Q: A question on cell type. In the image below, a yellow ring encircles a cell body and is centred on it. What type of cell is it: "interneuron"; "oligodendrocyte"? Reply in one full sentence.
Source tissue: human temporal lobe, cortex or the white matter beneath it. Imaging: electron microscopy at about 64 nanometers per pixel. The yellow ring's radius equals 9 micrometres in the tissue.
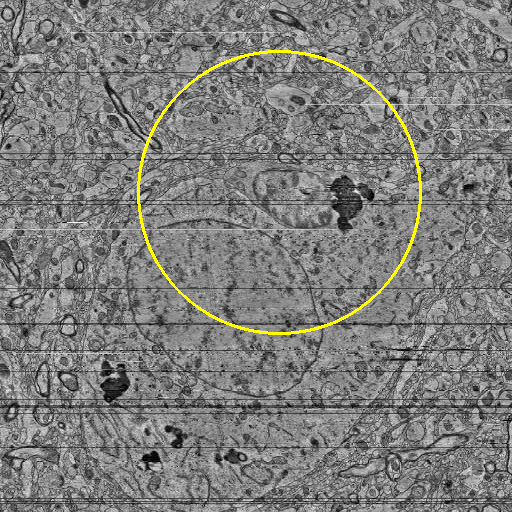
It is an oligodendrocyte whose cell body sits at the centre of the yellow ring in the image.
